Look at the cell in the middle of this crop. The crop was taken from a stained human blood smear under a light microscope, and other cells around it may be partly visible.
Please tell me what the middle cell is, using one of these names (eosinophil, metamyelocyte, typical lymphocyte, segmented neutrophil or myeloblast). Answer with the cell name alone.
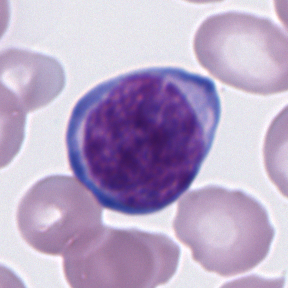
myeloblast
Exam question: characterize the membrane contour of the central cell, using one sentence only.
If you check the edge, you will find it smooth without projections.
